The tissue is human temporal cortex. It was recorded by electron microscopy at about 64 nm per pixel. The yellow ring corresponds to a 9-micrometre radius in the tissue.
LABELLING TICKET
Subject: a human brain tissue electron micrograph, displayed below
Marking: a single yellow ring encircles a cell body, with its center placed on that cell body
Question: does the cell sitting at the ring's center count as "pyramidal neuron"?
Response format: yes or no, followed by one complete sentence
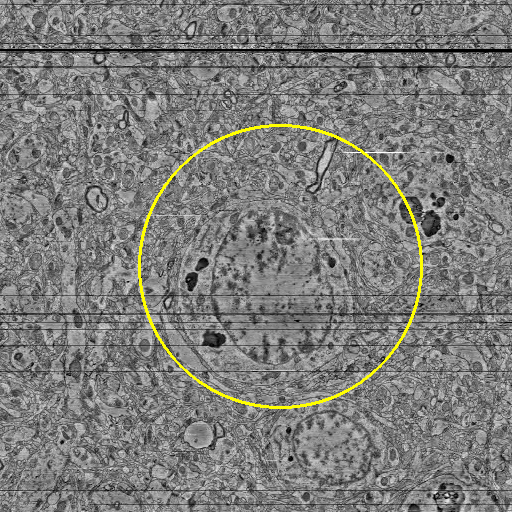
No, the cell at the center of the ring in the picture belongs to another kind.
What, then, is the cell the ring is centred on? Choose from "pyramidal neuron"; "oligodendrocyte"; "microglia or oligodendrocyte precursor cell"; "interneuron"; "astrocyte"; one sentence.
The cell at the middle of the ring is an interneuron.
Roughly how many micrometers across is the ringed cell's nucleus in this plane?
About 10 by 8 micrometers, in this plane.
